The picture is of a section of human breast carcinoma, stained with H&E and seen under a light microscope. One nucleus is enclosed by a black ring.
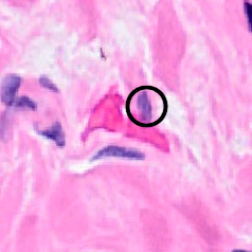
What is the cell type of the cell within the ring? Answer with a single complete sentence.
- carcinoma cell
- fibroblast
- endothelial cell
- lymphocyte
By its classification, the cell within the ring is an endothelial cell.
